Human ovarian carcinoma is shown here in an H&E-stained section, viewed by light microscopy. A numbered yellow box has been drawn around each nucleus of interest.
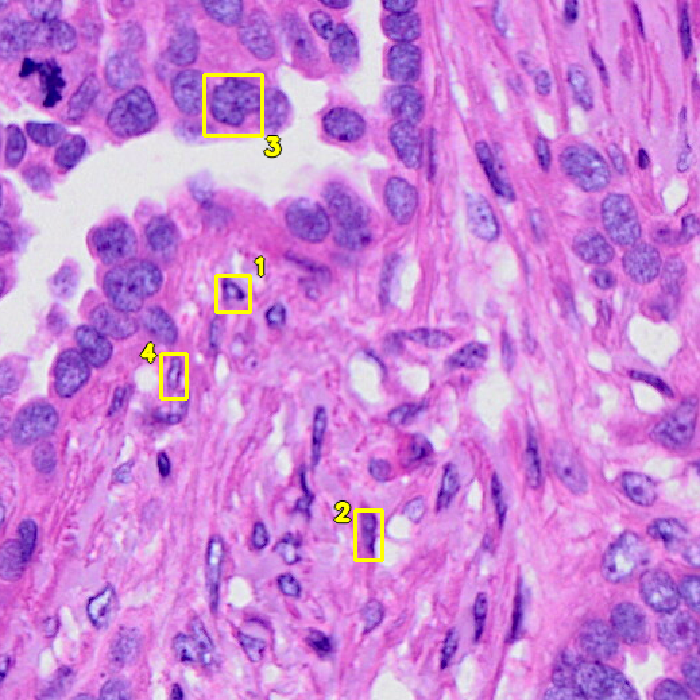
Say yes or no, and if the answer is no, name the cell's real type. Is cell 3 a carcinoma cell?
Yes.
